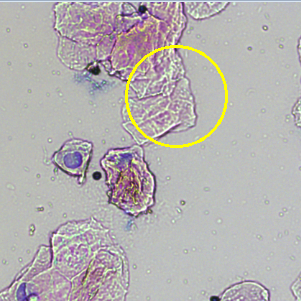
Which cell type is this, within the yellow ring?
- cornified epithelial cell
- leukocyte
Within the ring is a cornified epithelial cell.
